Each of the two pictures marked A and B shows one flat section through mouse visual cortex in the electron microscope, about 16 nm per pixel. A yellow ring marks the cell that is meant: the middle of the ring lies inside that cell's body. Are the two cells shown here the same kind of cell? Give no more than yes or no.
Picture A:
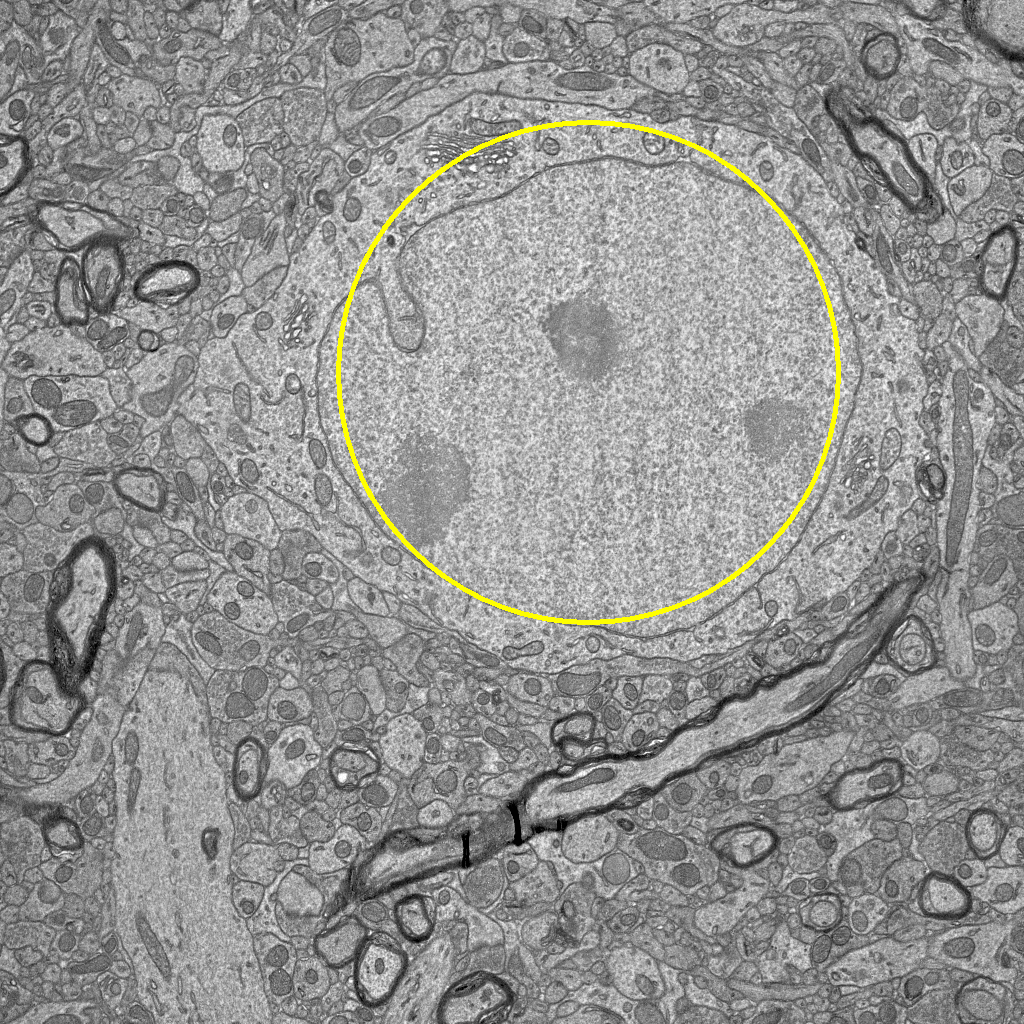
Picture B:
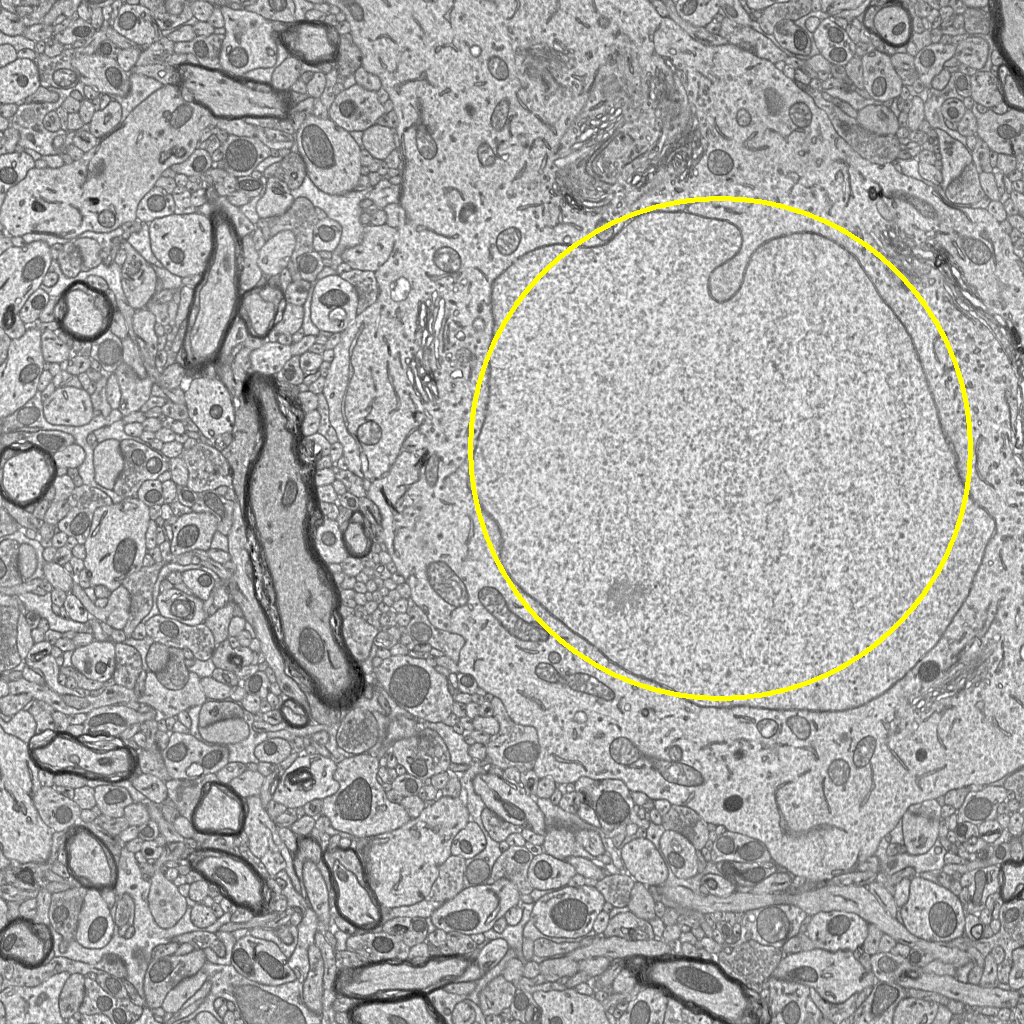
yes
